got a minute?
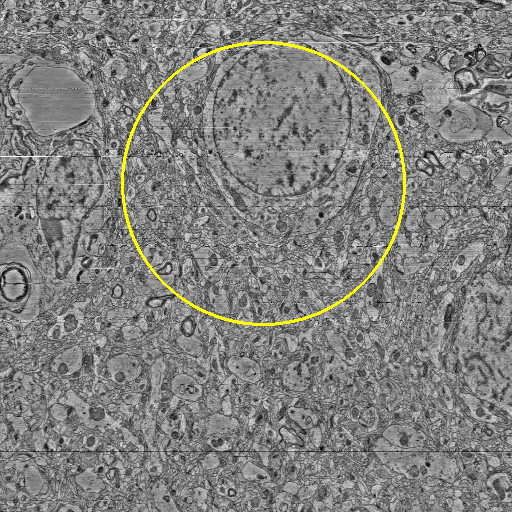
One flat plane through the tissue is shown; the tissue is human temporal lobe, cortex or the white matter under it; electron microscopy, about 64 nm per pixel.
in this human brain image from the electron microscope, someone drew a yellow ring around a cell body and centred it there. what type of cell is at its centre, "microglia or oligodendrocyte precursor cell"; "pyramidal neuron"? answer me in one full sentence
It's a pyramidal neuron at the middle of that yellow ring in the shot.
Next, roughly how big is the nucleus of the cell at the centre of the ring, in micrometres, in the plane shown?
The ringed cell's nucleus is about 11 micrometres long and 9 micrometres wide in this plane.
